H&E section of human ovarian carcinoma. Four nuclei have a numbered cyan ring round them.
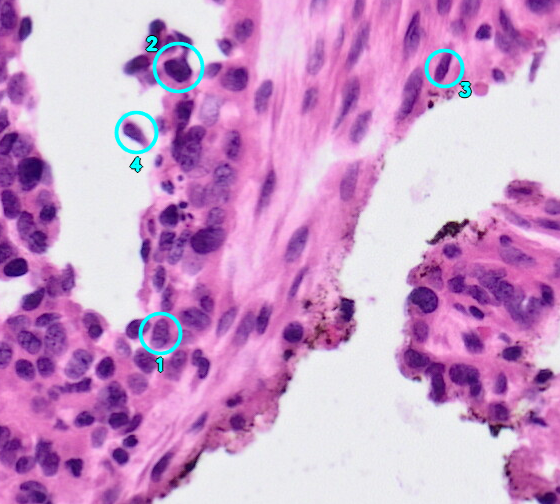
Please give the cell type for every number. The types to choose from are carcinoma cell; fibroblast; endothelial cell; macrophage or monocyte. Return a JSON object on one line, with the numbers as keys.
{"1": "carcinoma cell", "2": "carcinoma cell", "3": "fibroblast", "4": "carcinoma cell"}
